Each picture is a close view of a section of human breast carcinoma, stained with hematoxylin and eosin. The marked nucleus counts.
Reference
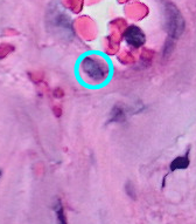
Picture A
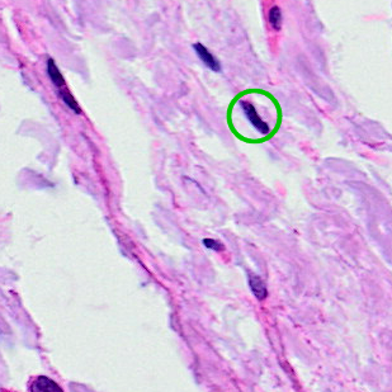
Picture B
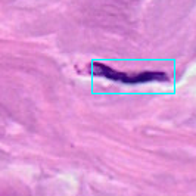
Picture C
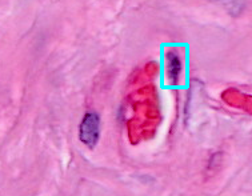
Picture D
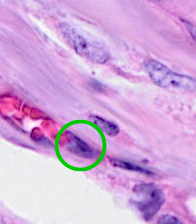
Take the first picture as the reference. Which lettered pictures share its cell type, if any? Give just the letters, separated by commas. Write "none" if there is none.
C, D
